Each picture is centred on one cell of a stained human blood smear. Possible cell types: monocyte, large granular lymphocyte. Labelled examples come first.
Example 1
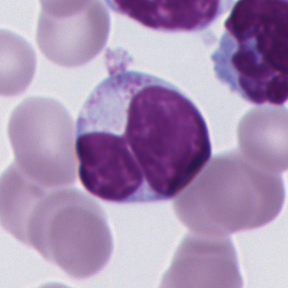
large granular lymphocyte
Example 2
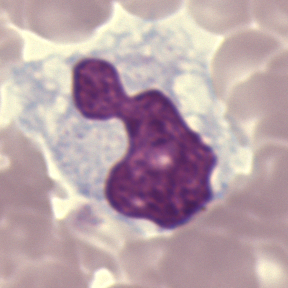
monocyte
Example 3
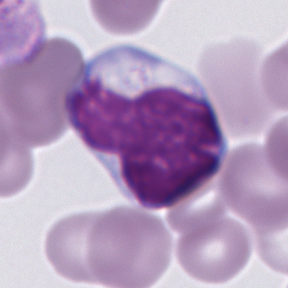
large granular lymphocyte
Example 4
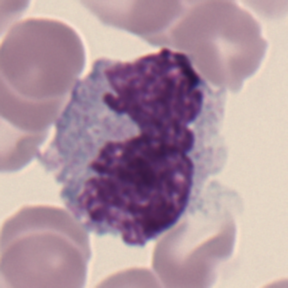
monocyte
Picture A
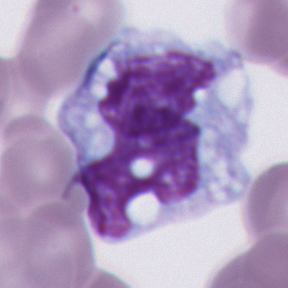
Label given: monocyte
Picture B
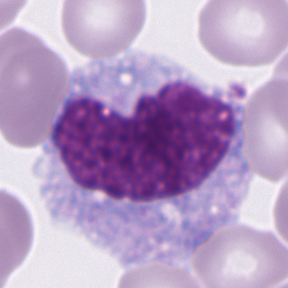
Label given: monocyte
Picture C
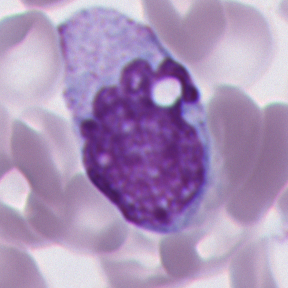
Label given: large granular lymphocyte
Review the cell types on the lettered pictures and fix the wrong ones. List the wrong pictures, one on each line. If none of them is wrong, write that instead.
C: change large granular lymphocyte to monocyte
